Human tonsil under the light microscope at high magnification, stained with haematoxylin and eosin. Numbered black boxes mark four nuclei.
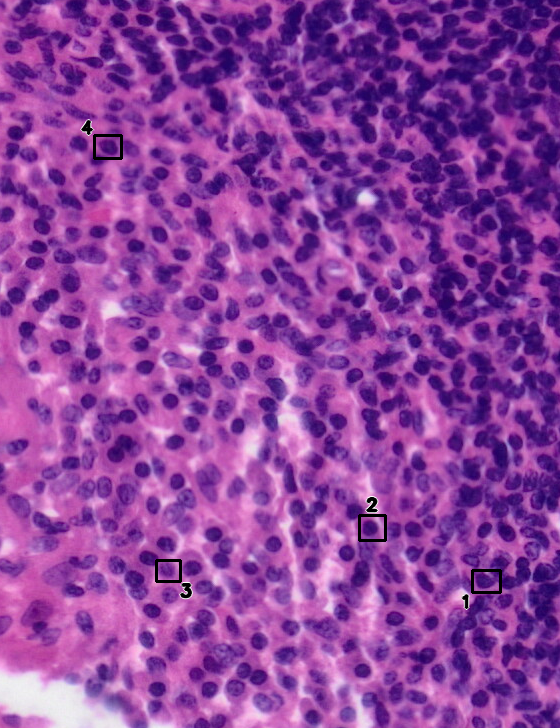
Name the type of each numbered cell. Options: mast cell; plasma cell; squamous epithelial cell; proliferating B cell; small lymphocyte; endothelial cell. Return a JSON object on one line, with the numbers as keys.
{"1": "small lymphocyte", "2": "plasma cell", "3": "plasma cell", "4": "plasma cell"}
